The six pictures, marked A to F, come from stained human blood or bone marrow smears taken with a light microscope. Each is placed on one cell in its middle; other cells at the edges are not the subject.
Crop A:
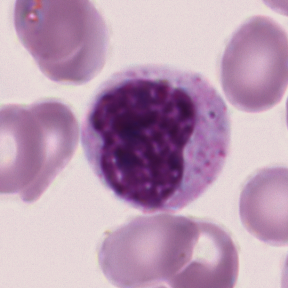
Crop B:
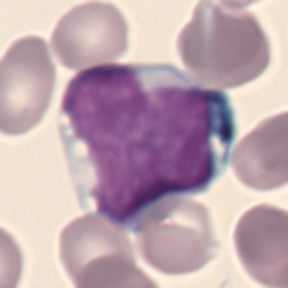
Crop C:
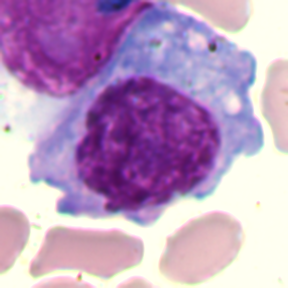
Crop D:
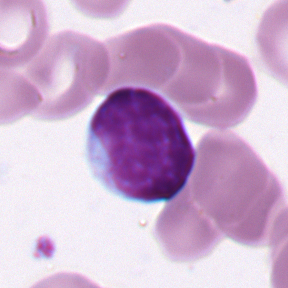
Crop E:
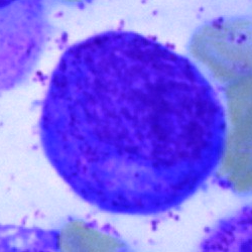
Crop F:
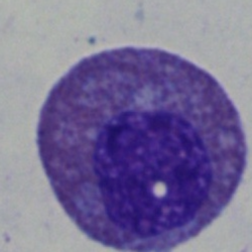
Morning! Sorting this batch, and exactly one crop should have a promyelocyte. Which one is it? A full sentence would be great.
Only in crop E is a promyelocyte shown.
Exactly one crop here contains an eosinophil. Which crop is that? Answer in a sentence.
Crop F represents an eosinophil, while the other crops do not.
